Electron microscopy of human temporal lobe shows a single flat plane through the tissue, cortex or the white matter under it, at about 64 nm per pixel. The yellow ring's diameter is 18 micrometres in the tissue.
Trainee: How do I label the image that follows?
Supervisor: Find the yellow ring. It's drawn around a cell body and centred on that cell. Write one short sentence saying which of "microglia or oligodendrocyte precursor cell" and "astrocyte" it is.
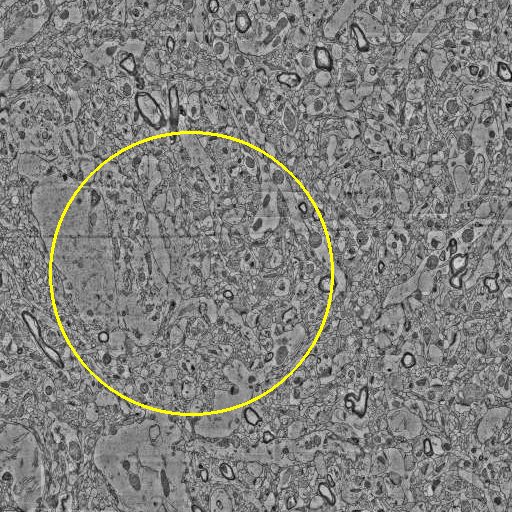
This is the cell body of a microglial cell or oligodendrocyte precursor cell.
